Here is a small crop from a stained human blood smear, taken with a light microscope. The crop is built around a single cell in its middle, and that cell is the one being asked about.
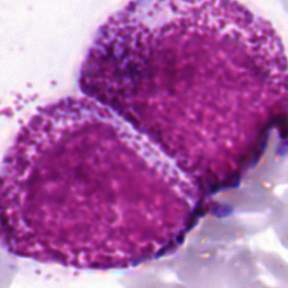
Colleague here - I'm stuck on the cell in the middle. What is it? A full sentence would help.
In the center of this field lies a promyelocyte.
